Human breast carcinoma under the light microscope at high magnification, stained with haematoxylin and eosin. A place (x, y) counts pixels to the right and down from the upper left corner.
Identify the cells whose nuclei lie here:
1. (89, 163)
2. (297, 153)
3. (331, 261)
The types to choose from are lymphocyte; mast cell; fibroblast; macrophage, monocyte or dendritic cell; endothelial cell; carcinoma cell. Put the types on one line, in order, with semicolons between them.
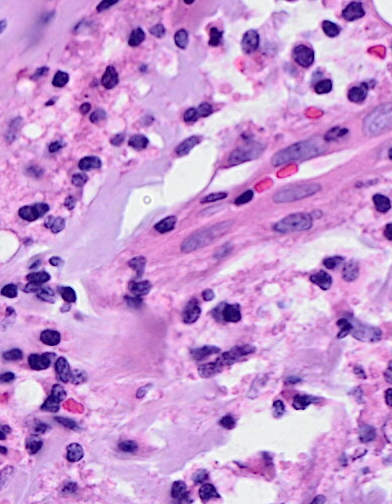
lymphocyte; endothelial cell; lymphocyte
